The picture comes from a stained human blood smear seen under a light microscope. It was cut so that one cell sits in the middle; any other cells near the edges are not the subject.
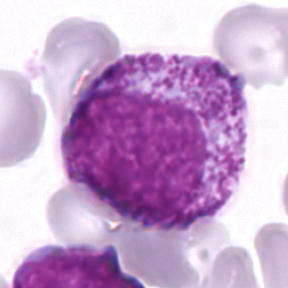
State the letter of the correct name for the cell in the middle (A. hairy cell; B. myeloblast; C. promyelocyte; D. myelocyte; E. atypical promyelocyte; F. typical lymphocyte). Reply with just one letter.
D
